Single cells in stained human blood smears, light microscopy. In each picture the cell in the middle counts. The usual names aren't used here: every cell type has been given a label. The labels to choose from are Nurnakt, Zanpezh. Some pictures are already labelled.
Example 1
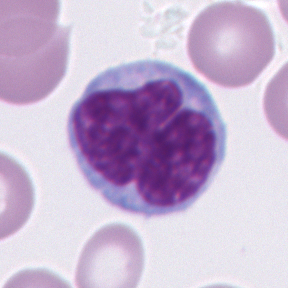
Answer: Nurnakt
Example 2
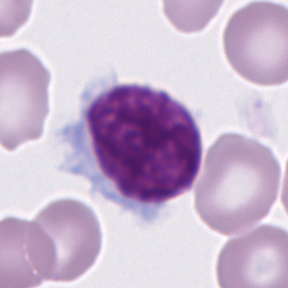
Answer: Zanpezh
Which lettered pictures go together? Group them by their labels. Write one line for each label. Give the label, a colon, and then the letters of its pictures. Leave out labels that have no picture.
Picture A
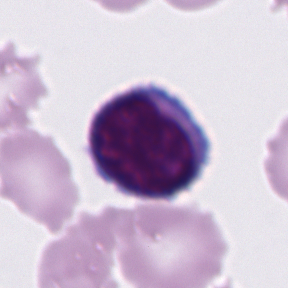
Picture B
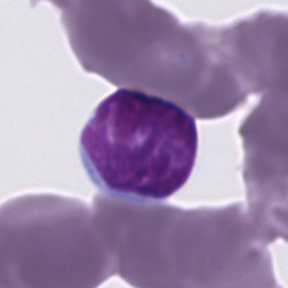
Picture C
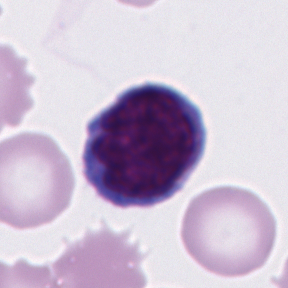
Nurnakt: A, B, C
